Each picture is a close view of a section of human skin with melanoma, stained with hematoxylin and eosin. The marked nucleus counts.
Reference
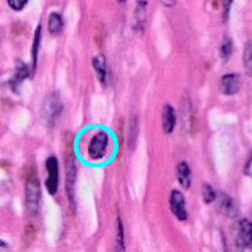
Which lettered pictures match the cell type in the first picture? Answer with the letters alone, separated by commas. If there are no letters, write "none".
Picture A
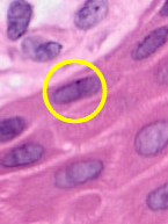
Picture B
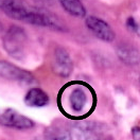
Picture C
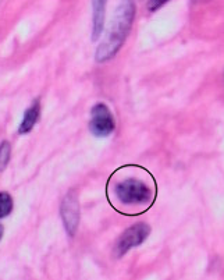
B, C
